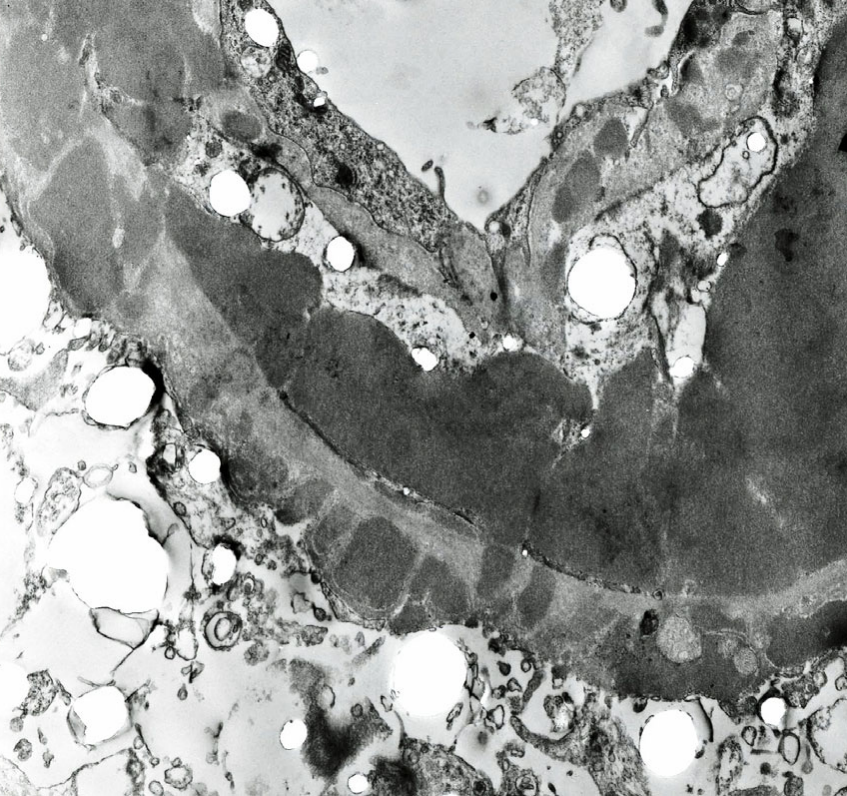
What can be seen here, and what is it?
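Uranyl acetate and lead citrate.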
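This is a glomerular capillary wall in which a very large, homogeneous, dark, lobulated electron dense deposit lies on the inner, subendothelial side of the basement membrane, beneath the endothelial cytoplasm, and bulges toward the capillary lumen. Along the outer side of the basement membrane there is a row of much smaller, rounded, dark subepithelial deposits. The basement membrane appears layered, with cell cytoplasm containing pale vacuoles lying between the layers.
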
